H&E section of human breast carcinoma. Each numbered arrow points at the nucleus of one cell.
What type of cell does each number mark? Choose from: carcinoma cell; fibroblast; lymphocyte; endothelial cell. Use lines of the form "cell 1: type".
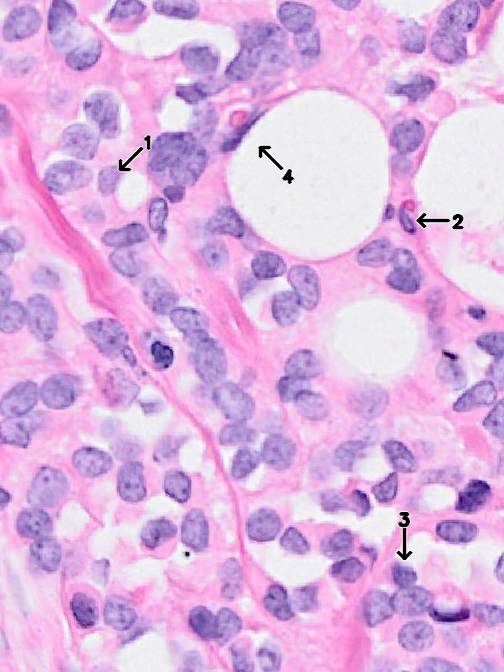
cell 1: carcinoma cell
cell 2: endothelial cell
cell 3: carcinoma cell
cell 4: endothelial cell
